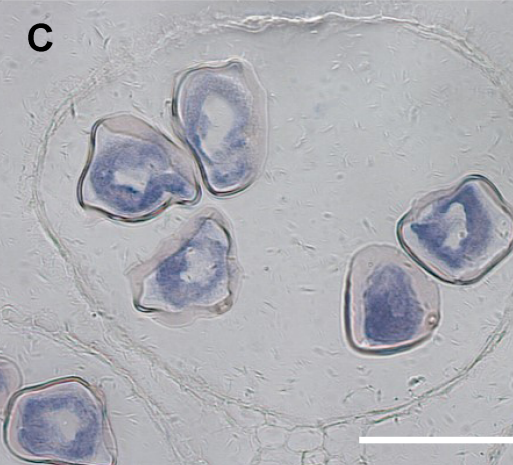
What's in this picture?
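A single anther chamber seen in cross section, bounded by a thin wall, contains several free pollen grains. The grains are rounded to angular, with thick, sharply outlined, refractile walls. Their cytoplasm is stained blue-purple, in most grains more densely at the periphery with a paler irregular central area, in one grain more evenly throughout. The grains lie loosely in the otherwise clear chamber space, some touching each other. Parts of neighbouring chambers with similarly stained grains appear at the lower left corner.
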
